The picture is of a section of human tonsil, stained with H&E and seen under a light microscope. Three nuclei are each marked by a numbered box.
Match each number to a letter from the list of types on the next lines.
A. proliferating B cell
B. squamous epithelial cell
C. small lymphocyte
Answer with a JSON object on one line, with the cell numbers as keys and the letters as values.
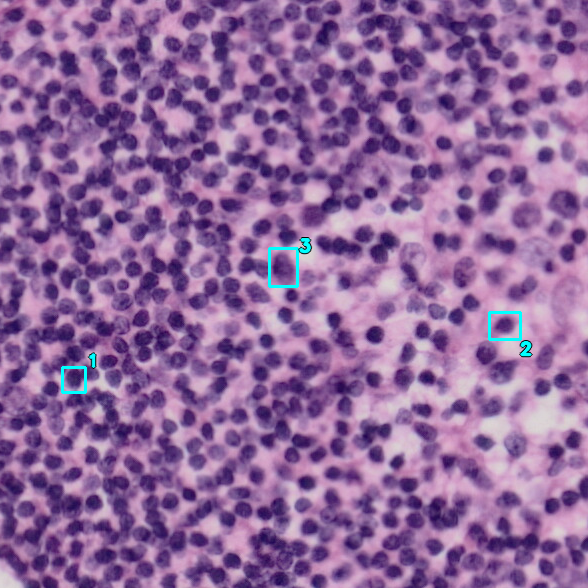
{"1": "C", "2": "A", "3": "A"}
